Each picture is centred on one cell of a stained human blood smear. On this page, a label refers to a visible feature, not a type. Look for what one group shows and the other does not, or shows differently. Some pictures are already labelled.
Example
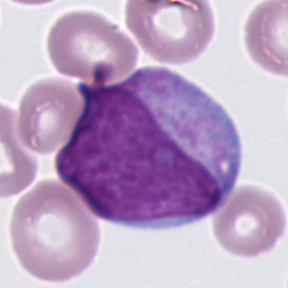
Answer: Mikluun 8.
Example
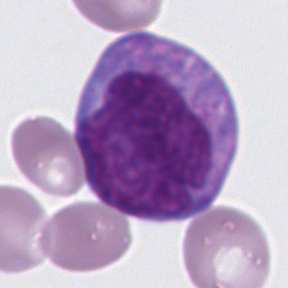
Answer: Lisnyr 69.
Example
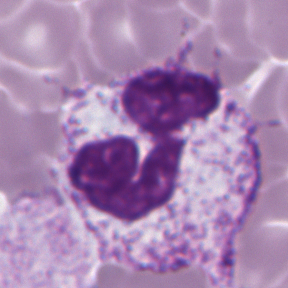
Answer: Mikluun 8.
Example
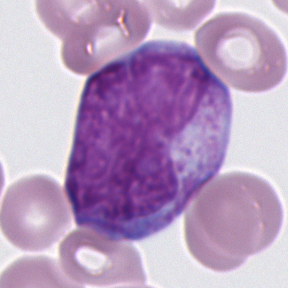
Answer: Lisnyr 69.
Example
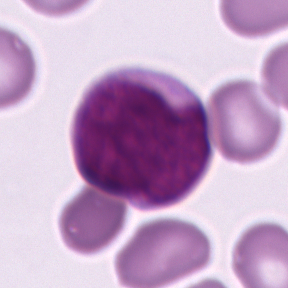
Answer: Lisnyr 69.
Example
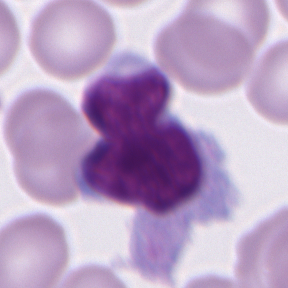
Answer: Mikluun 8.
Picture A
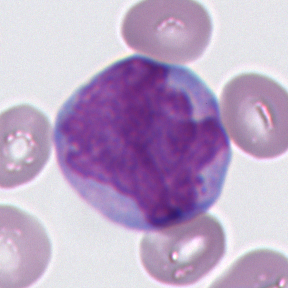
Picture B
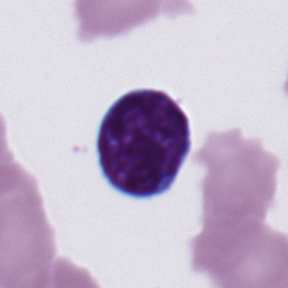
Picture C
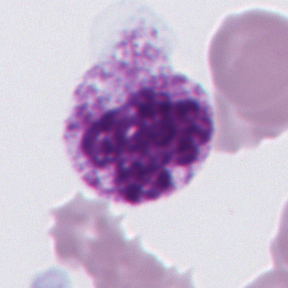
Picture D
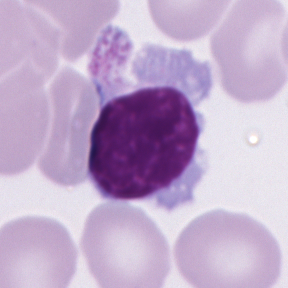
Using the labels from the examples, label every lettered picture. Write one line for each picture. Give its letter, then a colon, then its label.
A: Lisnyr 69.
B: Lisnyr 69.
C: Mikluun 8.
D: Mikluun 8.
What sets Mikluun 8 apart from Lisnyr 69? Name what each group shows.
In Mikluun 8: ragged outline or projections. In Lisnyr 69: smooth outline.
